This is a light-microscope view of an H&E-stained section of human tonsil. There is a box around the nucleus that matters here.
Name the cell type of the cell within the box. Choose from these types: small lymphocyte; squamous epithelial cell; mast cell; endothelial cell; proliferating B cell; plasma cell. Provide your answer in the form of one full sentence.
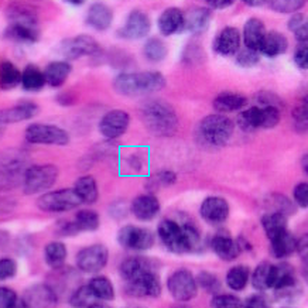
It is an endothelial cell that the cell within the box represents.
